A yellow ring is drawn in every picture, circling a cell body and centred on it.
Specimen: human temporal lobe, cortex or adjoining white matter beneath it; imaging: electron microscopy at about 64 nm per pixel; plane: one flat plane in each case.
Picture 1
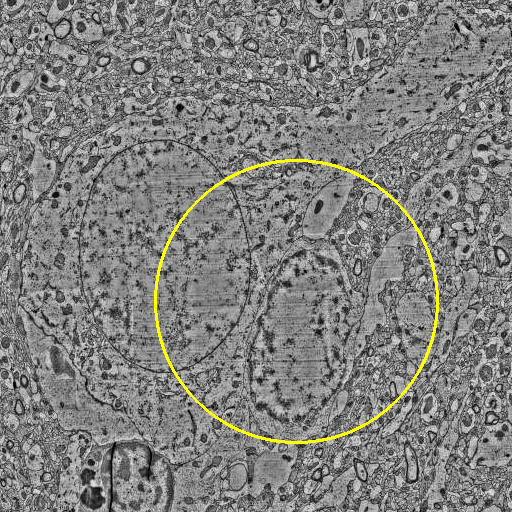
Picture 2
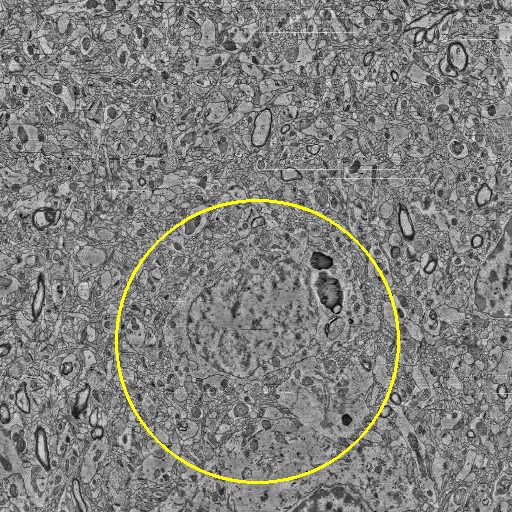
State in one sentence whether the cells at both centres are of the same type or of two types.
The cells at the two ring centres, one per picture, are of the same type.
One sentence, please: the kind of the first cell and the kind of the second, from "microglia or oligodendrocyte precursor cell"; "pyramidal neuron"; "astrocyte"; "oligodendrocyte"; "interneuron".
In each picture the ringed cell is an interneuron.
